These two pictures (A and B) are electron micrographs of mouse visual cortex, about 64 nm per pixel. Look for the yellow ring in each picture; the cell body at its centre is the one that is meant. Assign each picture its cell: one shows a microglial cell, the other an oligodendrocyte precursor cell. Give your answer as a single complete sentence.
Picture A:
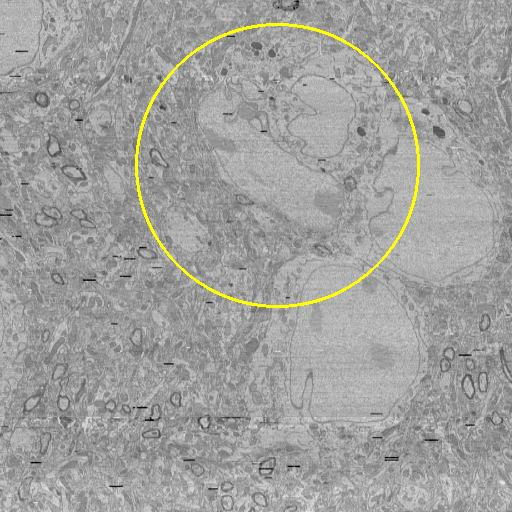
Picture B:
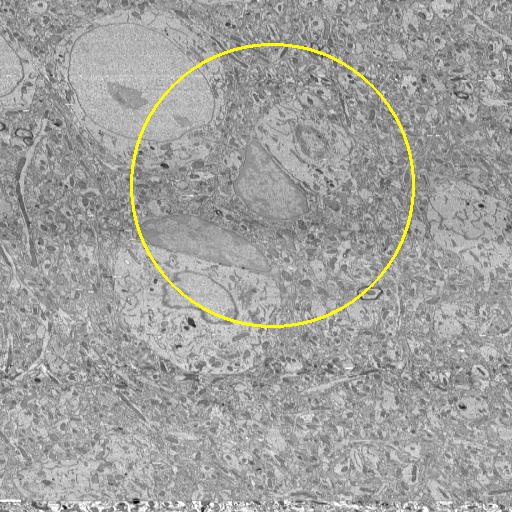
Picture B shows a microglial cell, while picture A shows an oligodendrocyte precursor cell.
